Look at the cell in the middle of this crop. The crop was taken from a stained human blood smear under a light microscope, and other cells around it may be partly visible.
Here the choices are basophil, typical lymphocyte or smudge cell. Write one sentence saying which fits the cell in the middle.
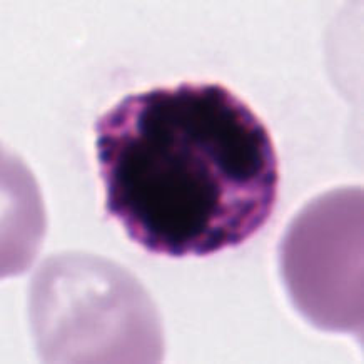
The centrally positioned cell in the crop represents a basophil.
